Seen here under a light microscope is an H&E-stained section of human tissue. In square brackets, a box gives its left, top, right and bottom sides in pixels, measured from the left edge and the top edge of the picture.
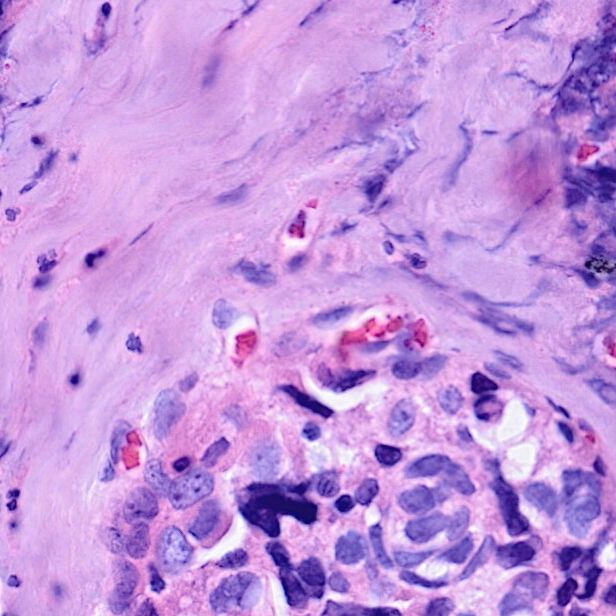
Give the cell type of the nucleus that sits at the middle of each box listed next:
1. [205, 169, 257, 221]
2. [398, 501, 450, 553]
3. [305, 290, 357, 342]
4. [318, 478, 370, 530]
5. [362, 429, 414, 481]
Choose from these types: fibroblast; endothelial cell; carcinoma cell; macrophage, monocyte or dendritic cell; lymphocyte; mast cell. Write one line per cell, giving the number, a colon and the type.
1: fibroblast
2: carcinoma cell
3: endothelial cell
4: lymphocyte
5: carcinoma cell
